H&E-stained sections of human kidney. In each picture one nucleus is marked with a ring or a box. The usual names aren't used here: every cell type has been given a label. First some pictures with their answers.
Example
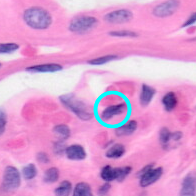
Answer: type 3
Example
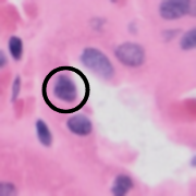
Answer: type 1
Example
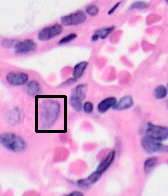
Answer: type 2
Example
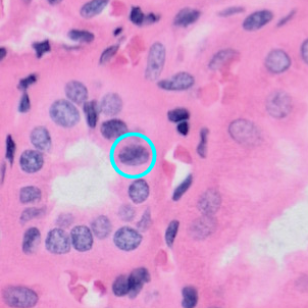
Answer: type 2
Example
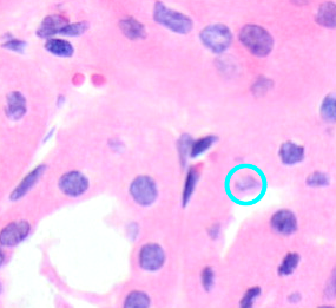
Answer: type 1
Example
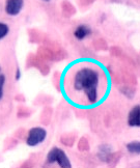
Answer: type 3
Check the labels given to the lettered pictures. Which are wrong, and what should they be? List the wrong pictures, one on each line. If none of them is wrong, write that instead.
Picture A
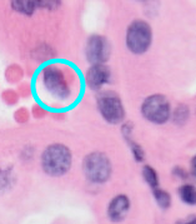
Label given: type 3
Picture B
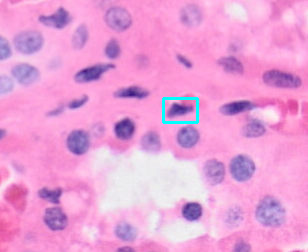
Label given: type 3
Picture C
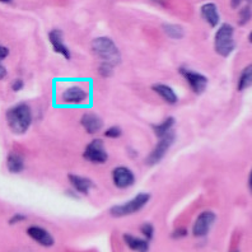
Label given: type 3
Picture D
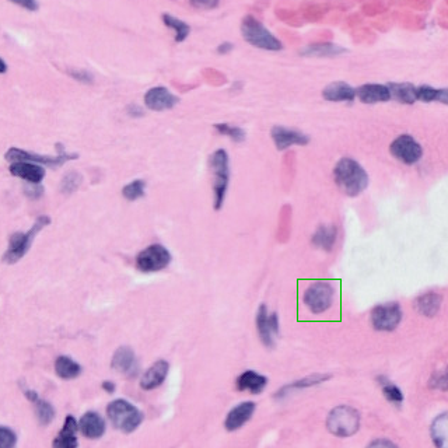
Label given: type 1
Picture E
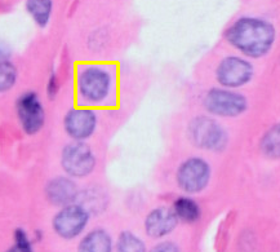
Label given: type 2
All labels are correct.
